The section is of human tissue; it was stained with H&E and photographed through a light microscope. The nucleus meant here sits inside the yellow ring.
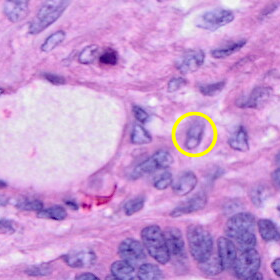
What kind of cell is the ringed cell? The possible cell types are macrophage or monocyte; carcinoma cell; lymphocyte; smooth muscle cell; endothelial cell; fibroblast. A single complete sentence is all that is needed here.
Students should answer that the ringed cell is a fibroblast.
